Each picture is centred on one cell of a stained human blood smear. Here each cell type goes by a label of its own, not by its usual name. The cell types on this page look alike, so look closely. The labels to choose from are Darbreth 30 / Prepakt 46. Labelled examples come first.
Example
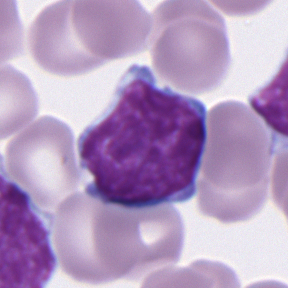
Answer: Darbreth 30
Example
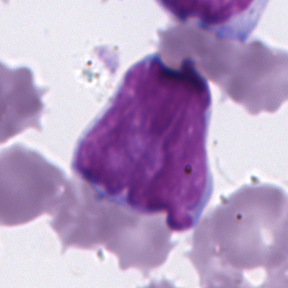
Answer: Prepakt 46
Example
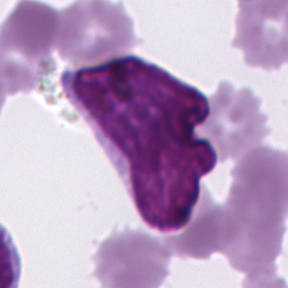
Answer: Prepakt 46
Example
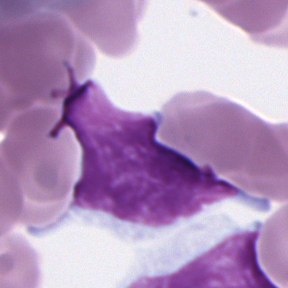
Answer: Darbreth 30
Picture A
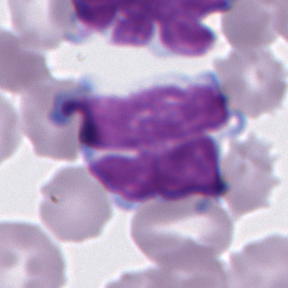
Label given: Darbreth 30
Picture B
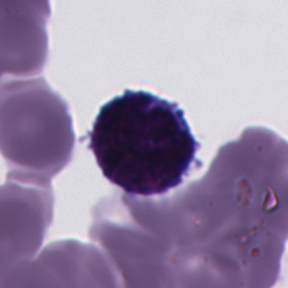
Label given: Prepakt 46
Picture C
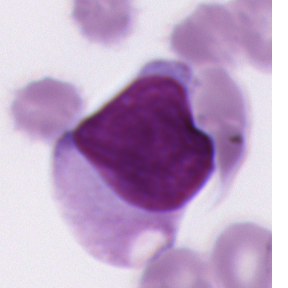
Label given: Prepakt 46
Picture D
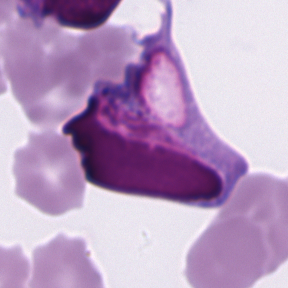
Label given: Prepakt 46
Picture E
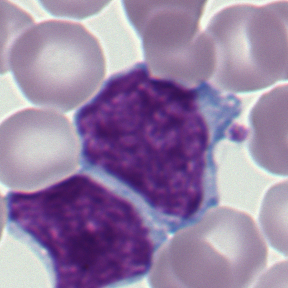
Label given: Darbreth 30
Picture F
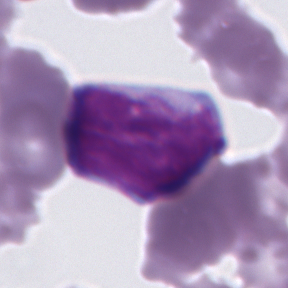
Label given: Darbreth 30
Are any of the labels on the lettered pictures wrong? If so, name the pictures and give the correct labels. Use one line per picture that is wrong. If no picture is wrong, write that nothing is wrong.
F: change Darbreth 30 to Prepakt 46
